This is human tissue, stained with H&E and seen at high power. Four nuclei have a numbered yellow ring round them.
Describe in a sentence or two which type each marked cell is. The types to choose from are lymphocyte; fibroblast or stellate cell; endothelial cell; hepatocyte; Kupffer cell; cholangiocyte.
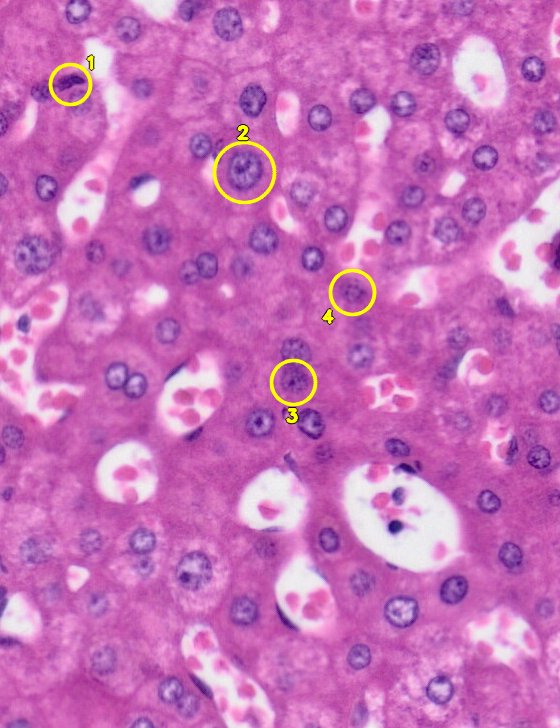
Cell 1 is a fibroblast or stellate cell. Cells 2, 3 and 4 are hepatocytes.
